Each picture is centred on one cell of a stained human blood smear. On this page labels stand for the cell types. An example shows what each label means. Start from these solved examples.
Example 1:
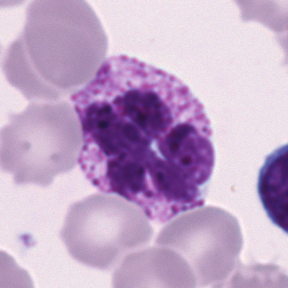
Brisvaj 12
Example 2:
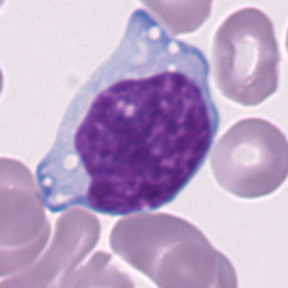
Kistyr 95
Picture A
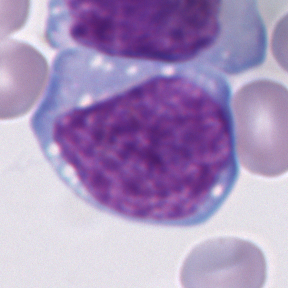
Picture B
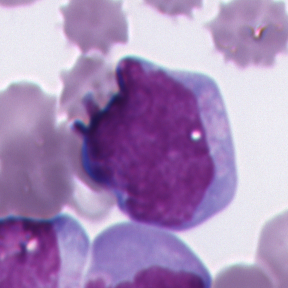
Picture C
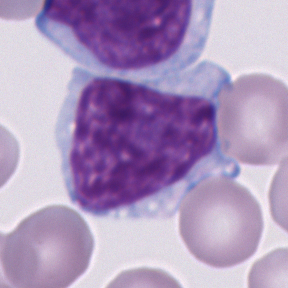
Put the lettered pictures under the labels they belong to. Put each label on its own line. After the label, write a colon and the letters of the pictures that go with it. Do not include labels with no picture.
Kistyr 95: A, B, C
